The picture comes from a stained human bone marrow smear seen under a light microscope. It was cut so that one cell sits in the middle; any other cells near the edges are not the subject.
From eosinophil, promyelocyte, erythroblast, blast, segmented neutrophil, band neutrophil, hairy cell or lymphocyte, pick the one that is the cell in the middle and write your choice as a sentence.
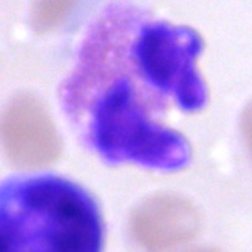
The central cell in this smear crop is an eosinophil.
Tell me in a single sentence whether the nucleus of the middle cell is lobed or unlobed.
The key feature is a nucleus with multiple lobes.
